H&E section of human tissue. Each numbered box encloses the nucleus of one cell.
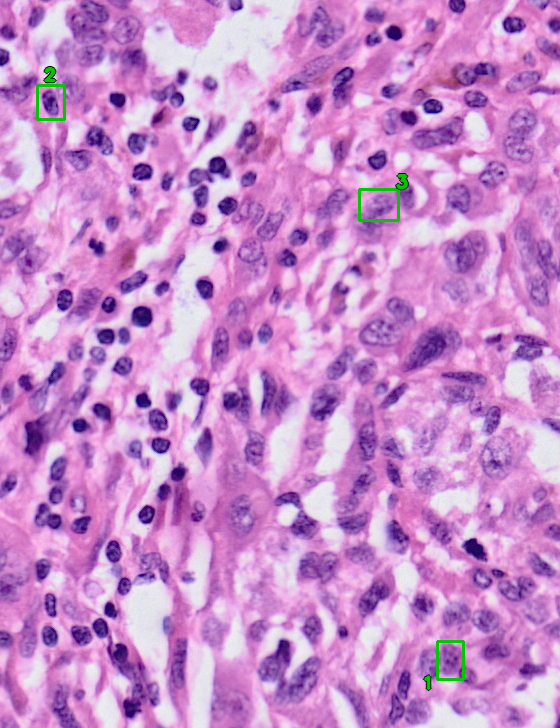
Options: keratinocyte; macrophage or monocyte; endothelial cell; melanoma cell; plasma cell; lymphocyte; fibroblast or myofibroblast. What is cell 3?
melanoma cell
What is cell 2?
lymphocyte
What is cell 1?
melanoma cell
